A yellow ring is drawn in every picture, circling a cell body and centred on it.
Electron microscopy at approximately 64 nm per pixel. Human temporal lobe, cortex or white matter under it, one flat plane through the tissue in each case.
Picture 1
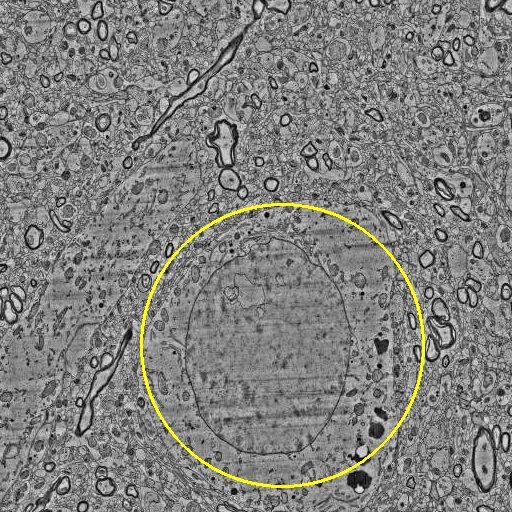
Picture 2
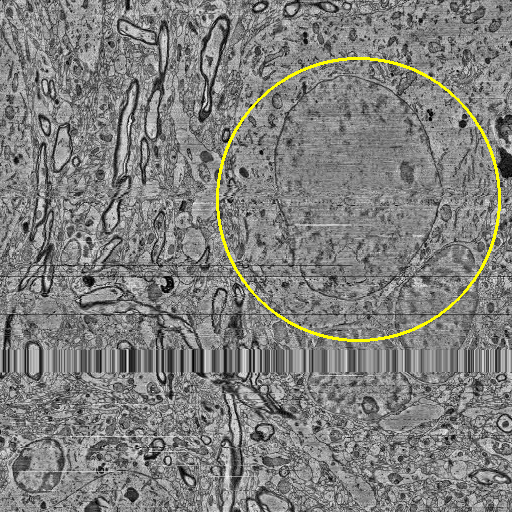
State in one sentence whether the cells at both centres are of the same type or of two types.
The cells at the two ring centres, one per picture, are of the same type.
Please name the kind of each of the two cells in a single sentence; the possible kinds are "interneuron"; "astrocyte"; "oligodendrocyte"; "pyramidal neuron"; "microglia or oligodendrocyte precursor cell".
Both cells are the same kind, each one being a pyramidal neuron.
